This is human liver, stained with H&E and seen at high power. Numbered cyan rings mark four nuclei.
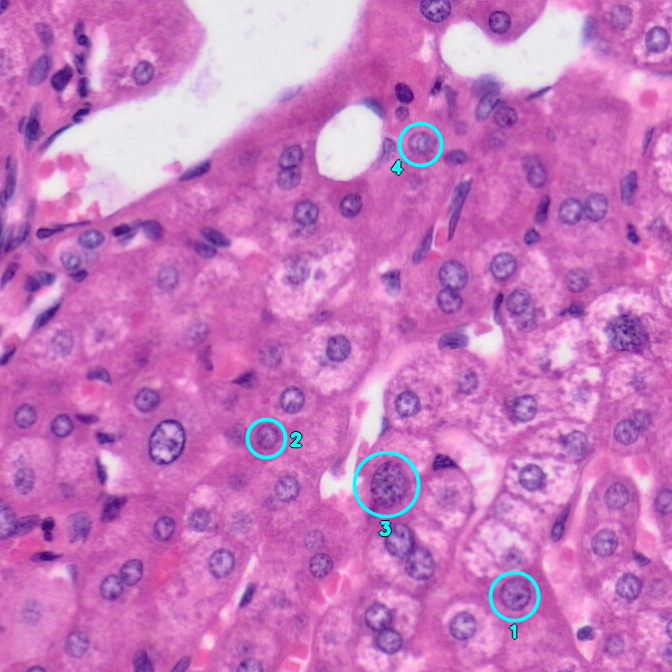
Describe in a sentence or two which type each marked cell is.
Cell 1 is a hepatocyte, cell 2 is a hepatocyte, cell 3 is a hepatocyte and cell 4 is a cholangiocyte.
